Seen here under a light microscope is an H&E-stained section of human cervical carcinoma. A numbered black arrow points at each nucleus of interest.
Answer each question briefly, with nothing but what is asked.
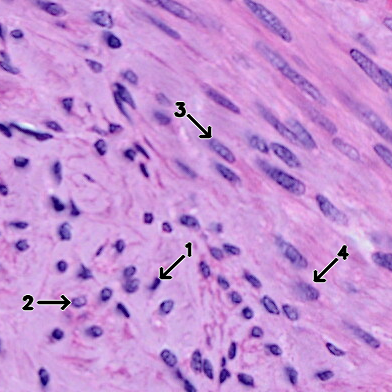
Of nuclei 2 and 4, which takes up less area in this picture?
2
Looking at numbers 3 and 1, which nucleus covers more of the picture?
3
